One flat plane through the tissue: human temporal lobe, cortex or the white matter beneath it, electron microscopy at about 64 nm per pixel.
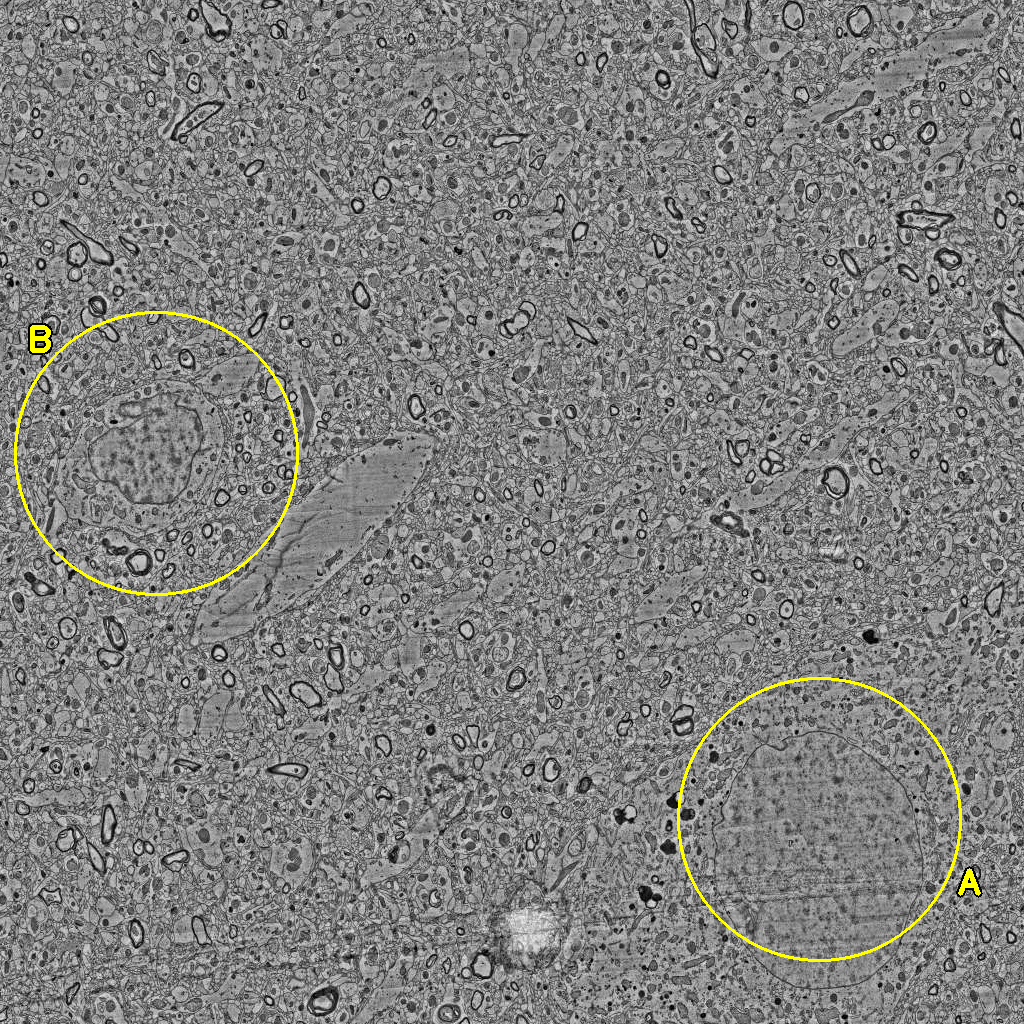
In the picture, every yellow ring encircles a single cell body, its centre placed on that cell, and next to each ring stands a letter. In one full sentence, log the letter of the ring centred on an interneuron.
The ring with the requested cell at its centre bears the letter B.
